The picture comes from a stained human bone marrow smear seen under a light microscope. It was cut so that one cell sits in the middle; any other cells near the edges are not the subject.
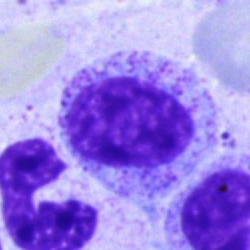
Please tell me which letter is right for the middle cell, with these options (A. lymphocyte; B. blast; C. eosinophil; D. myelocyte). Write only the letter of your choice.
D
